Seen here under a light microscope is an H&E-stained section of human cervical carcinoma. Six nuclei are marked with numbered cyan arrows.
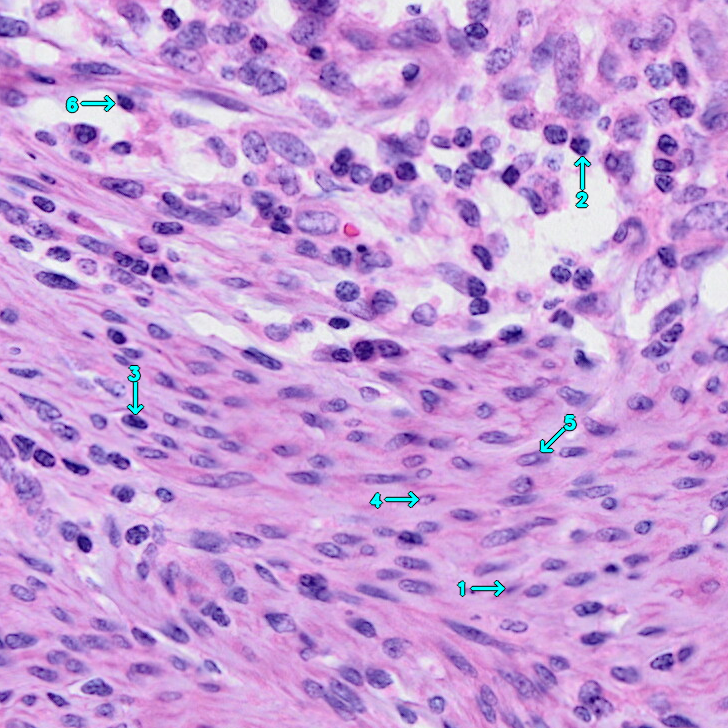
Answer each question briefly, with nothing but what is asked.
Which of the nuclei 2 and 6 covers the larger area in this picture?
2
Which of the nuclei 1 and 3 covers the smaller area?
1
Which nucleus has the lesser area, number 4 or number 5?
4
